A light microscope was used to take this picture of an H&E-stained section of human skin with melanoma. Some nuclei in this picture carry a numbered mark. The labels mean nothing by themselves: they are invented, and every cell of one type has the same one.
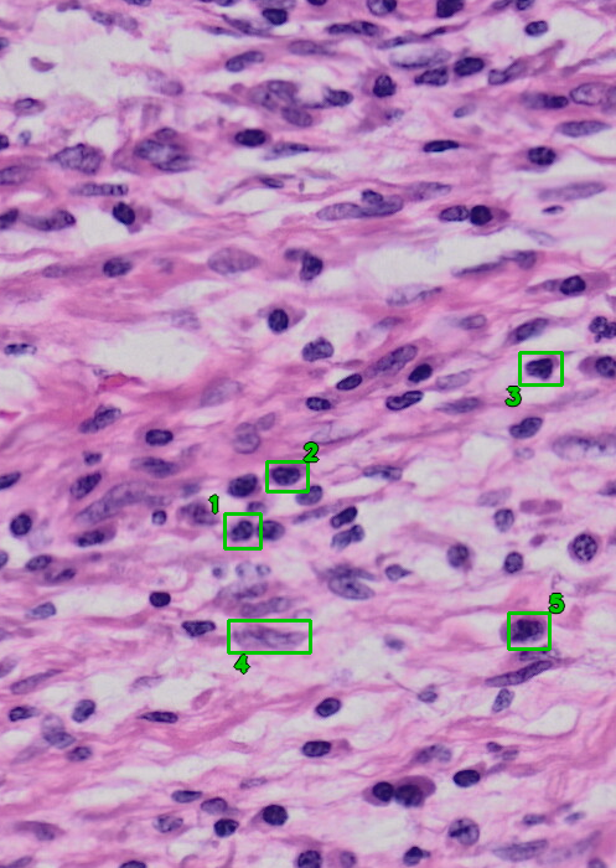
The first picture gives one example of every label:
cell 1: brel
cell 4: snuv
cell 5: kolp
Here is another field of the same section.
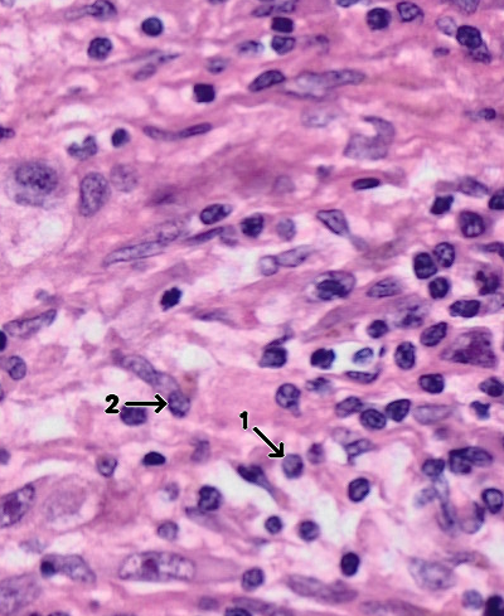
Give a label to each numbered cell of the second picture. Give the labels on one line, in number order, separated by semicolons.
brel; kolp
